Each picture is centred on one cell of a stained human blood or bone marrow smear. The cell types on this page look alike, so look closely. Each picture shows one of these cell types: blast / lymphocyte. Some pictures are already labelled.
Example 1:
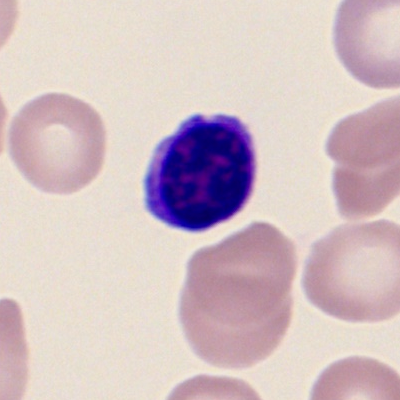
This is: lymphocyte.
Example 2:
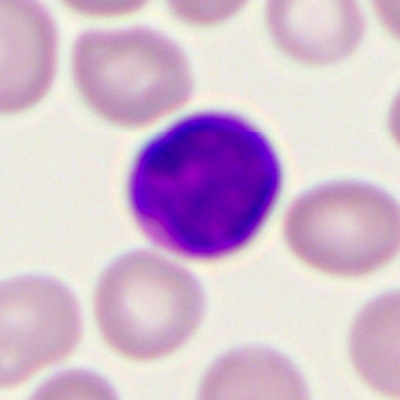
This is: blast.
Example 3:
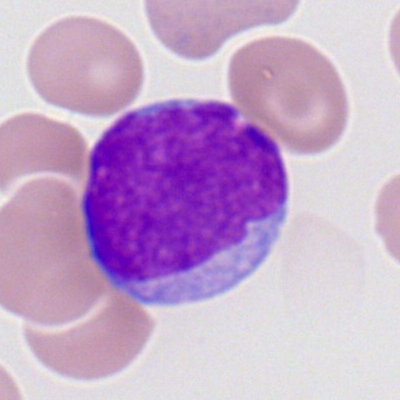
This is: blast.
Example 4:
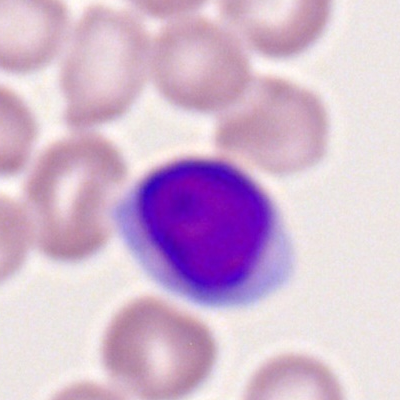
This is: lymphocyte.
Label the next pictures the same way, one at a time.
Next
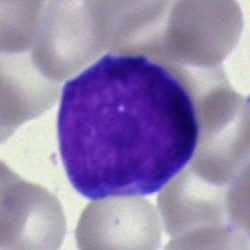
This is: blast.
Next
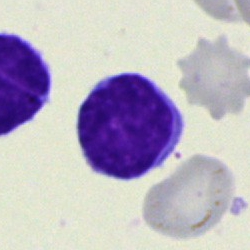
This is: lymphocyte.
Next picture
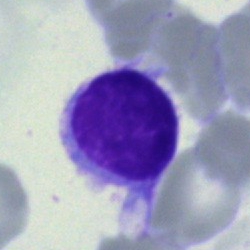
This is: lymphocyte.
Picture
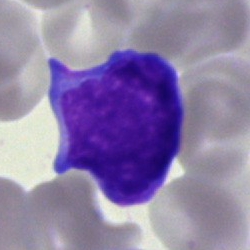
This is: blast.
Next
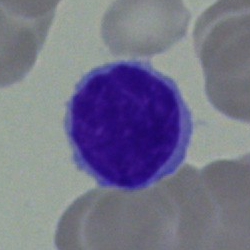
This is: lymphocyte.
